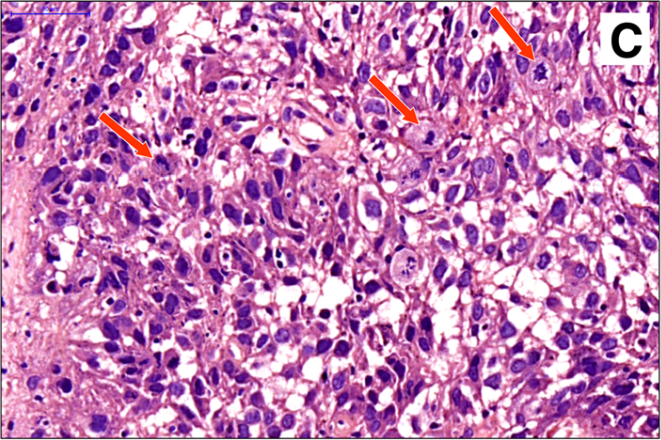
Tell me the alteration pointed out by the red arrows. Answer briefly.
Atypical mitoses.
